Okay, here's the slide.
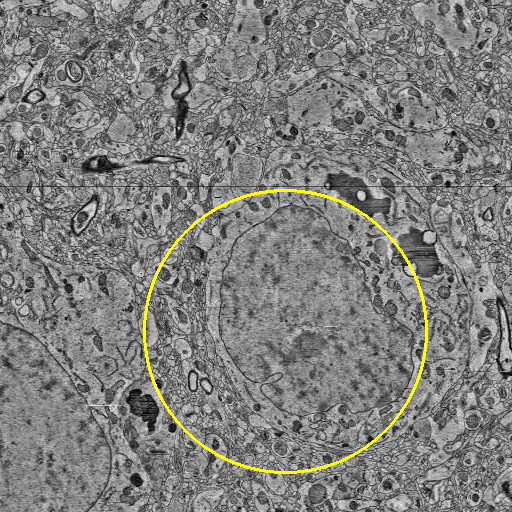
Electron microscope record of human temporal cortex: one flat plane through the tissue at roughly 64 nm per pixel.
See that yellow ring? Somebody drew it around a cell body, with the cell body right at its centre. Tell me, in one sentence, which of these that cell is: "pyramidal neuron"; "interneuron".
The cell in the middle of the ring is an interneuron.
